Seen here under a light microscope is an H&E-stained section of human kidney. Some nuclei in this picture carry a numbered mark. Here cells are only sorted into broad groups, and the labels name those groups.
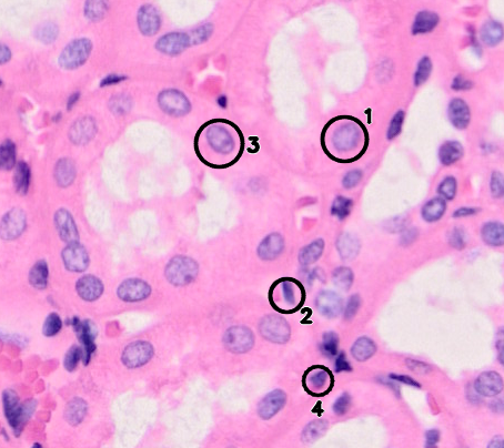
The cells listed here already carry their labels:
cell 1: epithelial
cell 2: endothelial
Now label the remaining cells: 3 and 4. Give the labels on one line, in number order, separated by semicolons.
epithelial; endothelial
